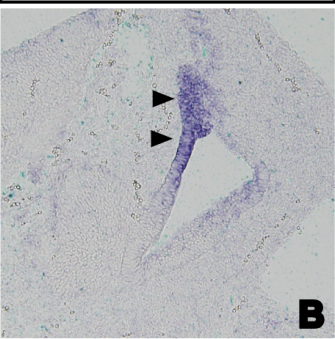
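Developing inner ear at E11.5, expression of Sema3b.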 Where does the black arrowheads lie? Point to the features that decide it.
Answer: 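The arrowheads point to purple staining in the epithelial wall at the upper, narrow end of a fluid-filled vesicle. The lower wall of the vesicle is largely unstained. That points to this answer: dorsal part of the otocyst.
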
